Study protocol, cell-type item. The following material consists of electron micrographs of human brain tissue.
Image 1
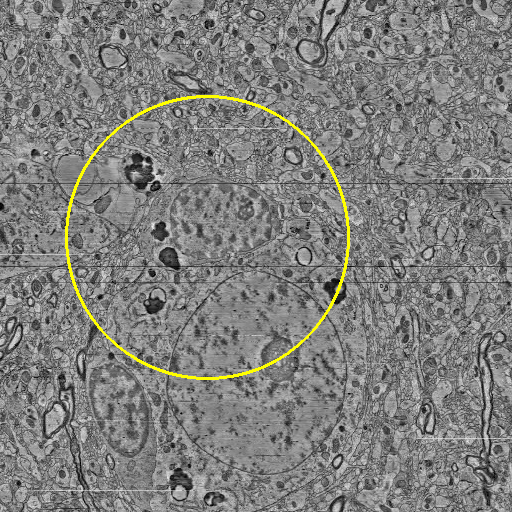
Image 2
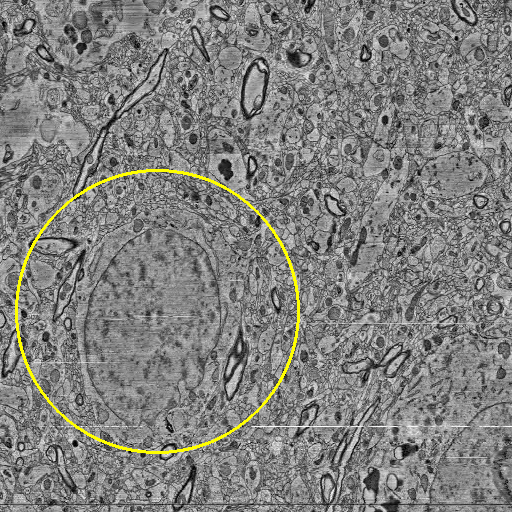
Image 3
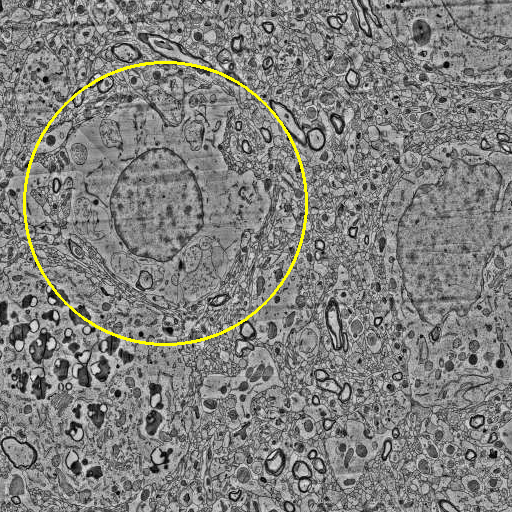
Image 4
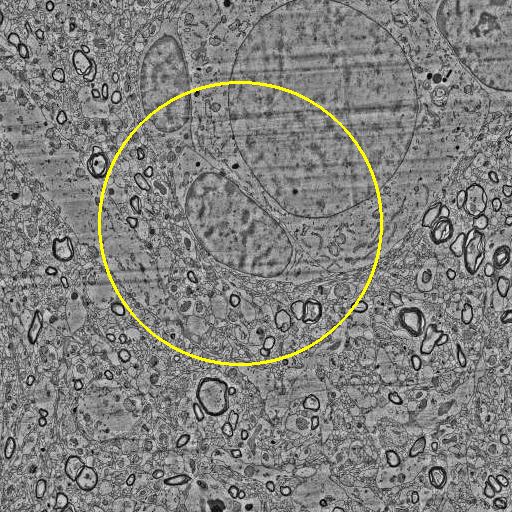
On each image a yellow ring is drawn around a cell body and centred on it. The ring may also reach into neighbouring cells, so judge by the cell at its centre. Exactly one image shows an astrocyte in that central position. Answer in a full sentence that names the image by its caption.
The cell at the centre of the ring in Image 3 is of that kind.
